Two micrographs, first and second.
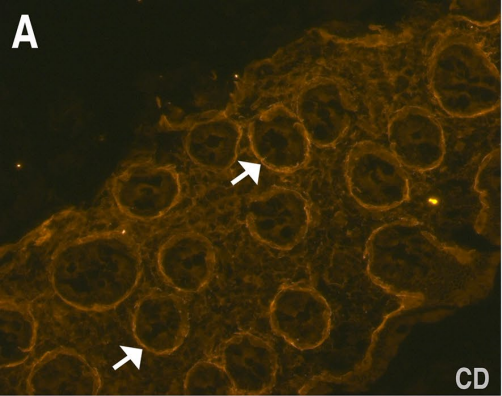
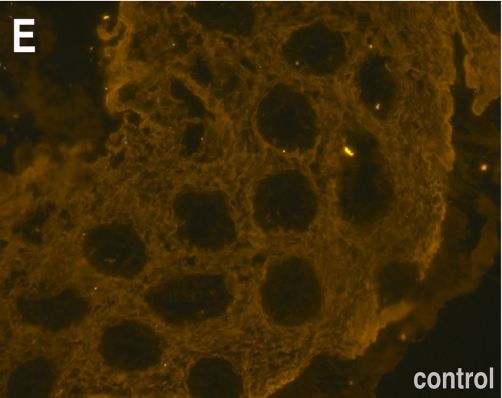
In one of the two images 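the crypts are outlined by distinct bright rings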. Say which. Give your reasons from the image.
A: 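Second image: dark crypt profiles sit in an evenly stained fibrillar meshwork without a brighter rim at their borders. First image: each round crypt profile is encircled by a thin bright orange line.
The first image.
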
